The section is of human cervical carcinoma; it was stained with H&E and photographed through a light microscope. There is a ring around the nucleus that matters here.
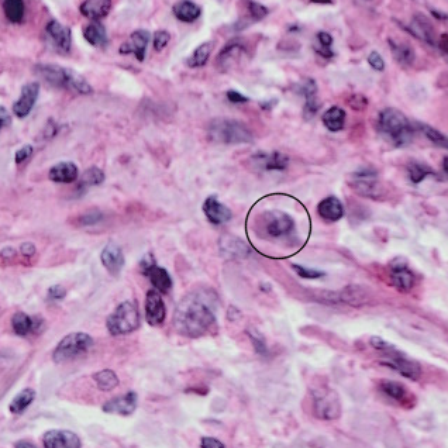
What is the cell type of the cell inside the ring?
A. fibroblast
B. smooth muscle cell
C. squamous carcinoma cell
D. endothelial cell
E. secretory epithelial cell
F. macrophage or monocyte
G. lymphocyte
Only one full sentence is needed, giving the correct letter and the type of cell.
Option F is the one to take: the cell inside the ring is a macrophage or monocyte.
